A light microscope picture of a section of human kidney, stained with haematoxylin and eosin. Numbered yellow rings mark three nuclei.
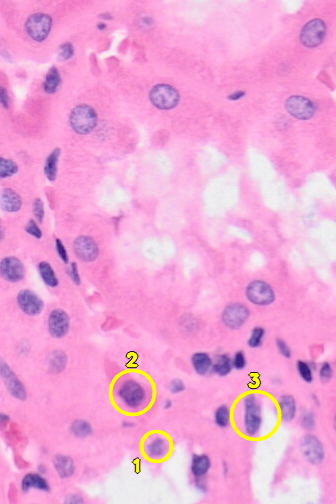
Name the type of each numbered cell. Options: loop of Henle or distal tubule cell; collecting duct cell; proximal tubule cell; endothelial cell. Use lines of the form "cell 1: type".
cell 1: loop of Henle or distal tubule cell
cell 2: proximal tubule cell
cell 3: loop of Henle or distal tubule cell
